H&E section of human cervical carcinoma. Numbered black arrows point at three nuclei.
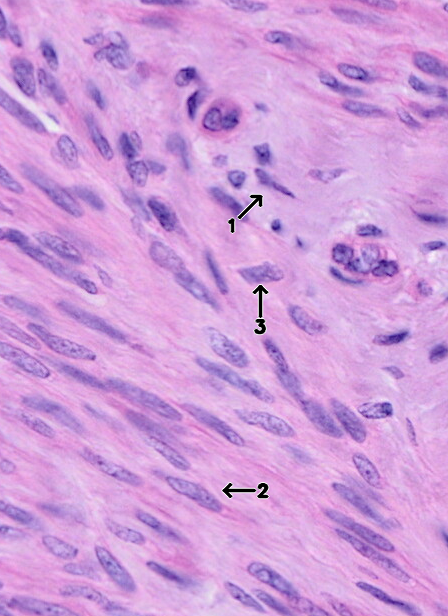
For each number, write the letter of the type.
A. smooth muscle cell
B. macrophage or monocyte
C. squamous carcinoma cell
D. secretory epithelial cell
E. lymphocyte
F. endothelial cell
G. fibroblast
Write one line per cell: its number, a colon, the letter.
1: G
2: A
3: G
